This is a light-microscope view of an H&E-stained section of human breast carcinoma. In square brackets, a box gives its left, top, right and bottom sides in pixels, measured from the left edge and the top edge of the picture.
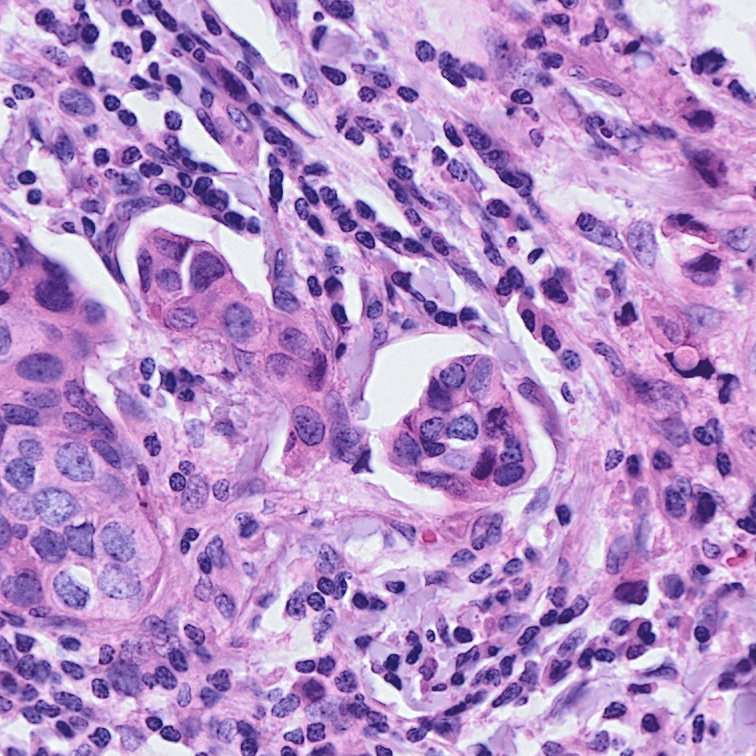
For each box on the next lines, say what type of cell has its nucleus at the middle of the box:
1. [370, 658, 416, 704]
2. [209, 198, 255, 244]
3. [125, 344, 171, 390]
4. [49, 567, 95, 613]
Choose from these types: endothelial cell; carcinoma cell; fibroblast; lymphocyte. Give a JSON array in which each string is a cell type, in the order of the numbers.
["lymphocyte", "lymphocyte", "lymphocyte", "carcinoma cell"]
